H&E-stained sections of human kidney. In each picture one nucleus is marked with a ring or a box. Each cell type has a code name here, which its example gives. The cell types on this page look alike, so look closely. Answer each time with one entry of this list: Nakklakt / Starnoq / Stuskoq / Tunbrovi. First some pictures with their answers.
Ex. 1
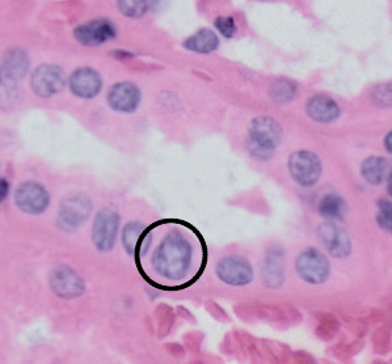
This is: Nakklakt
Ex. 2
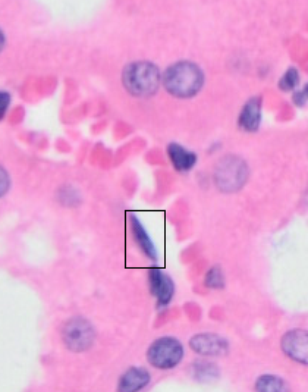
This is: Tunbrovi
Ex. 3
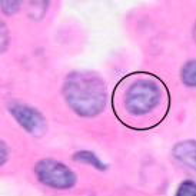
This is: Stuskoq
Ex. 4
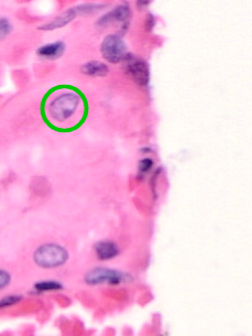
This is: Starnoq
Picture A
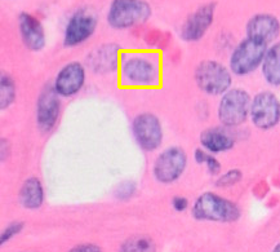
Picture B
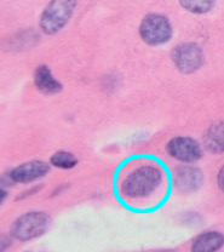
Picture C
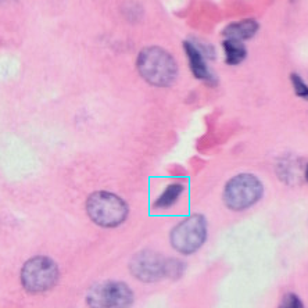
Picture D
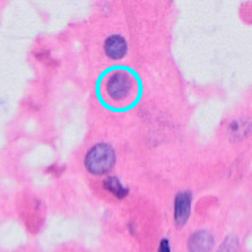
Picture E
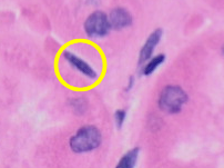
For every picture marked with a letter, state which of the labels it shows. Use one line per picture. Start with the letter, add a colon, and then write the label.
A: Nakklakt
B: Nakklakt
C: Tunbrovi
D: Starnoq
E: Tunbrovi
